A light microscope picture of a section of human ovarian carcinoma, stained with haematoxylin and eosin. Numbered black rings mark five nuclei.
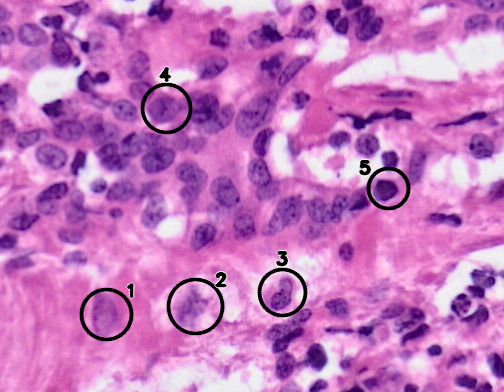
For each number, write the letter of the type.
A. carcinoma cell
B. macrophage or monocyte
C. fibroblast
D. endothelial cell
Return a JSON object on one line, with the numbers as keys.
{"1": "C", "2": "C", "3": "B", "4": "A", "5": "A"}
